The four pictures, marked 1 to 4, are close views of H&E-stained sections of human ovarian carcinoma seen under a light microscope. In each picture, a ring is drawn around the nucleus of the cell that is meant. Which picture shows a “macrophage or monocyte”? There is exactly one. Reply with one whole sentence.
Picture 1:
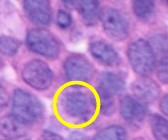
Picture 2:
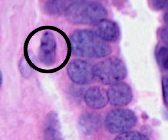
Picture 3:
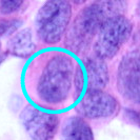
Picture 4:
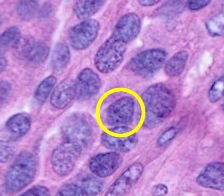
The picture with the “macrophage or monocyte” is 2.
